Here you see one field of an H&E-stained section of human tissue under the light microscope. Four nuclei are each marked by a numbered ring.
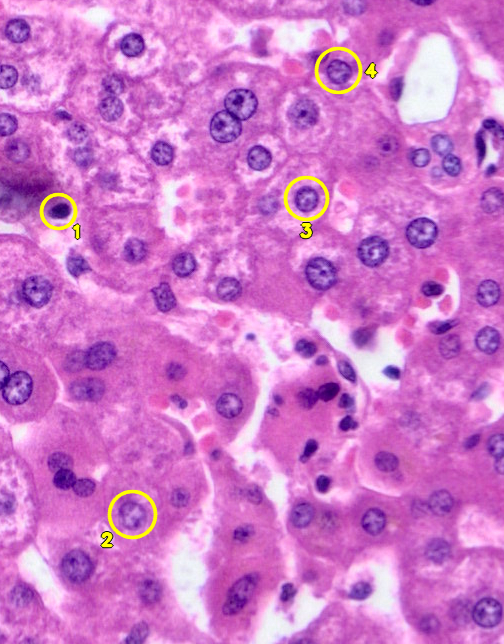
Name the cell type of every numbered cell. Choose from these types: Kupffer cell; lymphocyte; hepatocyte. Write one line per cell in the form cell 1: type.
cell 1: lymphocyte
cell 2: hepatocyte
cell 3: hepatocyte
cell 4: hepatocyte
